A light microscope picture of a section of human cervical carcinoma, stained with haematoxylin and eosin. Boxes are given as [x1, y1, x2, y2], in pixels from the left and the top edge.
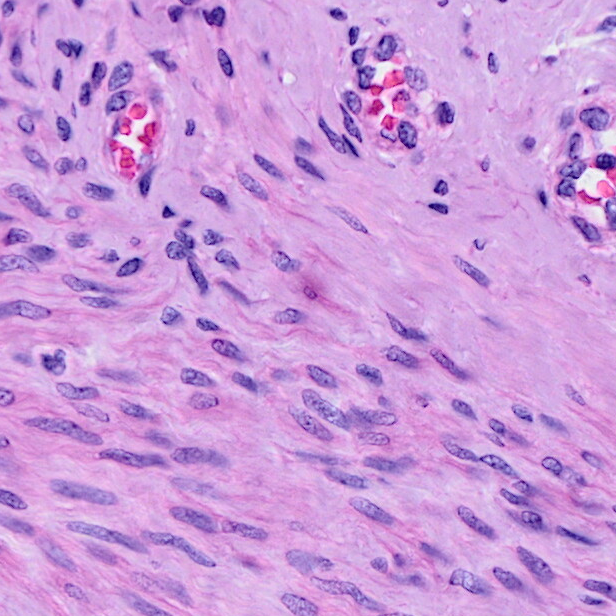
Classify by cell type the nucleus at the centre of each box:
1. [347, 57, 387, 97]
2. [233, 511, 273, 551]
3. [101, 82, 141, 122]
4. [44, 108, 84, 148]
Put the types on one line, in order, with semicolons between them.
endothelial cell; smooth muscle cell; endothelial cell; fibroblast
